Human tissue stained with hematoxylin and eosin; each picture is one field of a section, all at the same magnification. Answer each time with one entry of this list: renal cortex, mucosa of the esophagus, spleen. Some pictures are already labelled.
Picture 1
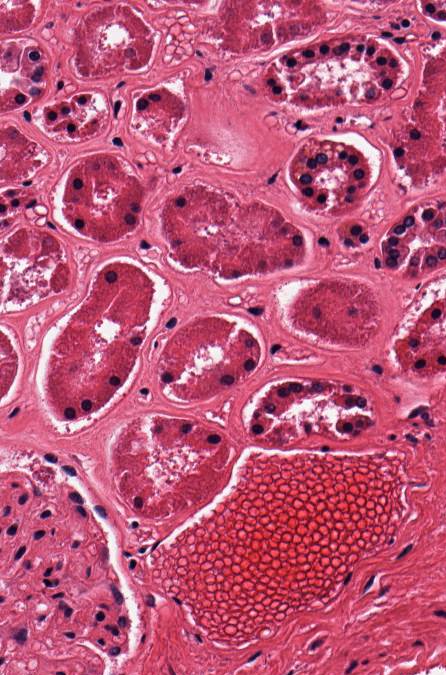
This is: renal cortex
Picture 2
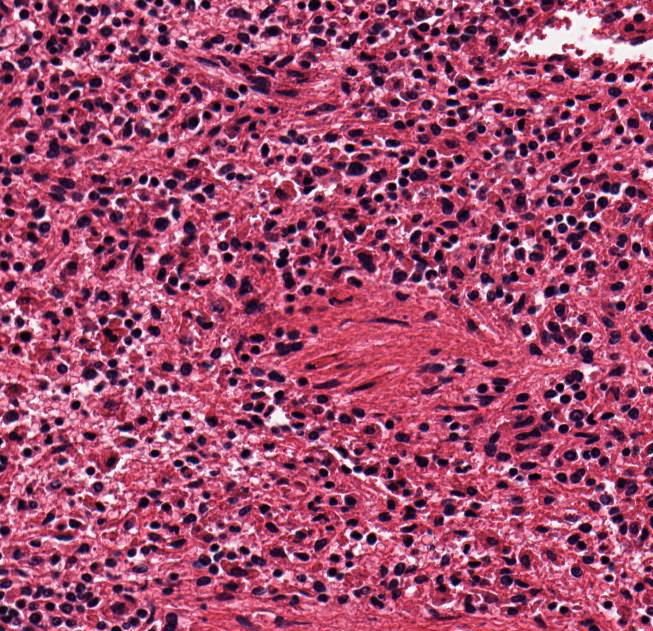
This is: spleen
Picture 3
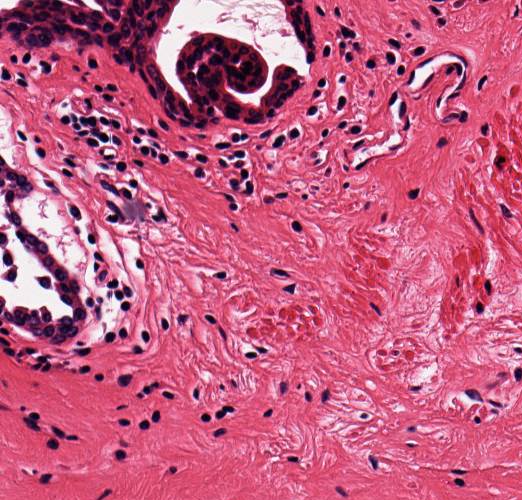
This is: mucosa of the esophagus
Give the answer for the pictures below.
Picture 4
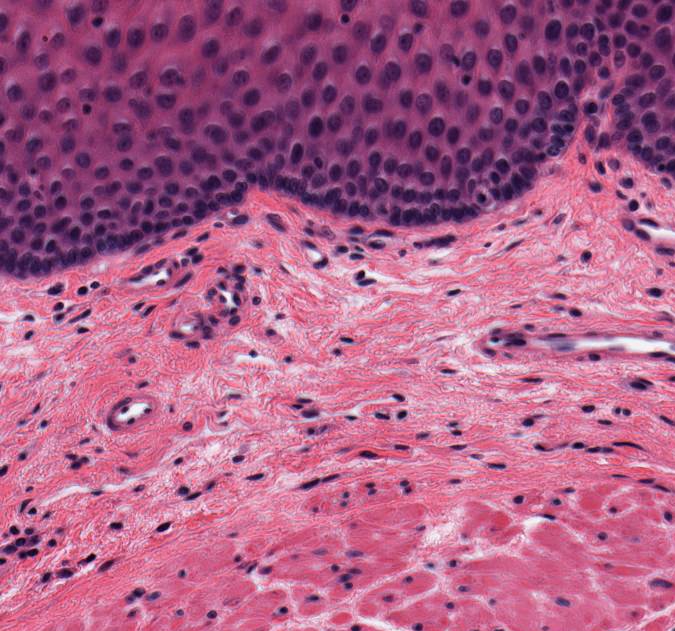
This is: mucosa of the esophagus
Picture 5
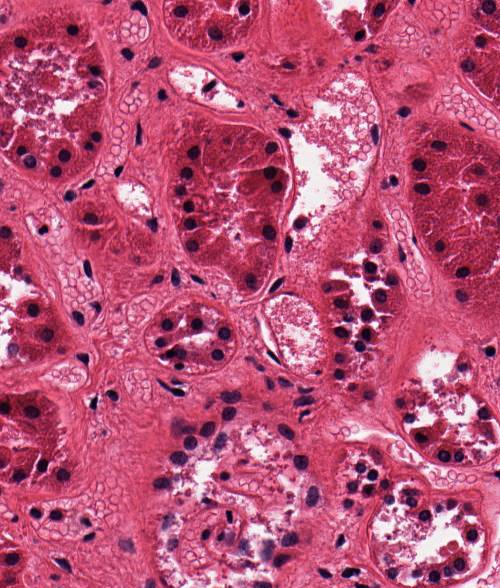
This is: renal cortex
